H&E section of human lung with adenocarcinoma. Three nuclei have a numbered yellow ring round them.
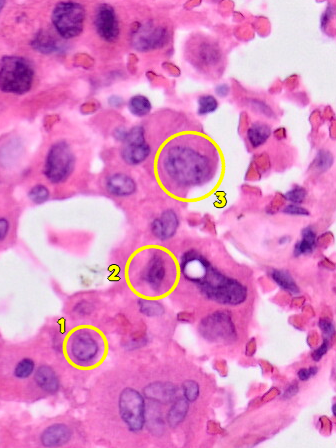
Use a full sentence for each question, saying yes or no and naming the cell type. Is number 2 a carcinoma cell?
Yes, the cell with the mark numbered 2 is a carcinoma cell.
